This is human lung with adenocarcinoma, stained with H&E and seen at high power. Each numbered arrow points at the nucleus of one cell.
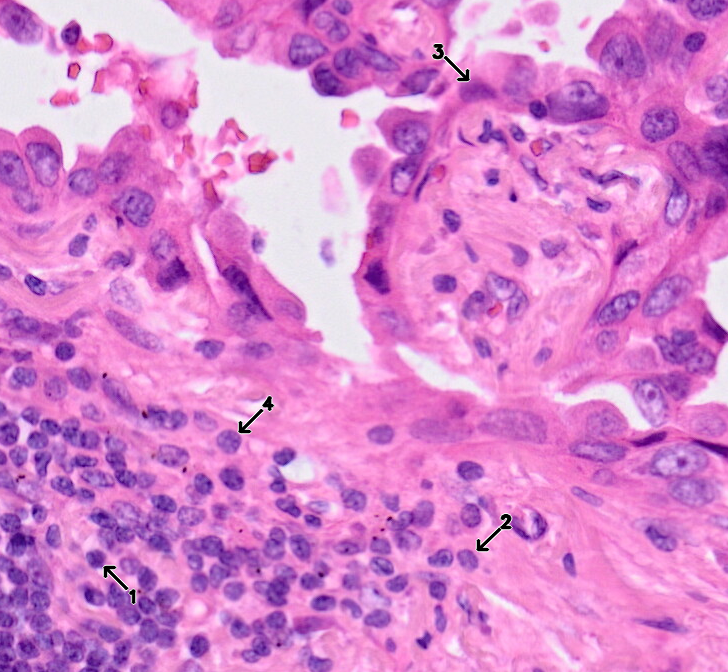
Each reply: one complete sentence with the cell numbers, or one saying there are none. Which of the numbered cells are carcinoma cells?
Cell 3 is the single numbered cell that is a carcinoma cell.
